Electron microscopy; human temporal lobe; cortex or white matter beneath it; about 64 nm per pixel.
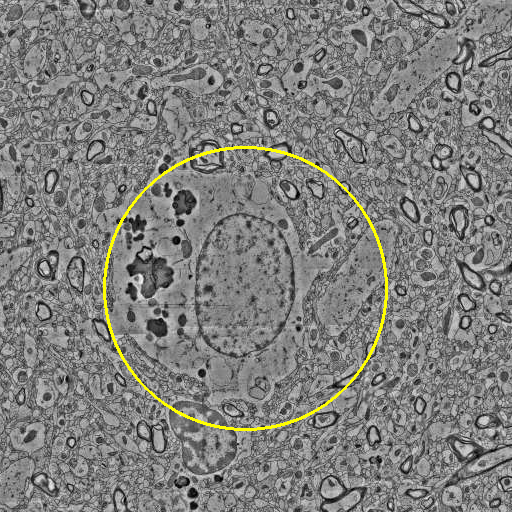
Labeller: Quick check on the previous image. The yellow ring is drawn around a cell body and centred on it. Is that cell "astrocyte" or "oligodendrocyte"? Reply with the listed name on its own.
astrocyte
